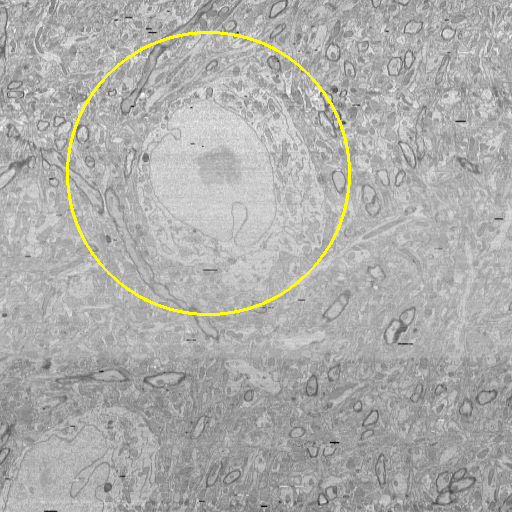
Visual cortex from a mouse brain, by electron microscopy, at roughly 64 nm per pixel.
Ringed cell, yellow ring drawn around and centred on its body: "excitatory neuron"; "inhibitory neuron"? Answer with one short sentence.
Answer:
This ringed cell is an inhibitory neuron.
